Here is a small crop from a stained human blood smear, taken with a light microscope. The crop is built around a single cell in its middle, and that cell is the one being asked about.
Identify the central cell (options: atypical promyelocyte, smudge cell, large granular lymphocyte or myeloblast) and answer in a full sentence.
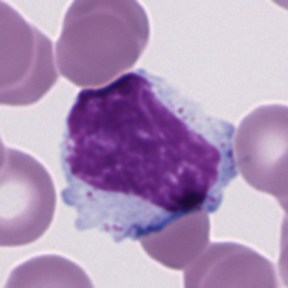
Within this crop, a large granular lymphocyte occupies the central position.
